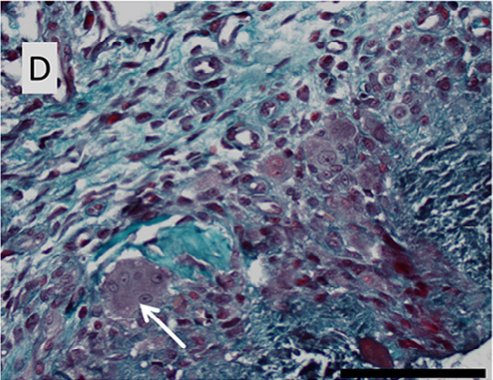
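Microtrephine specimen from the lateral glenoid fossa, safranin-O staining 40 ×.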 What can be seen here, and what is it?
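Green-stained collagen fibres run between cells with elongated, dark nuclei. Among them lie rounded cells with pale purplish cytoplasm and round nuclei, some grouped together in small clusters. Scattered small dark red bodies are seen in the tissue.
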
